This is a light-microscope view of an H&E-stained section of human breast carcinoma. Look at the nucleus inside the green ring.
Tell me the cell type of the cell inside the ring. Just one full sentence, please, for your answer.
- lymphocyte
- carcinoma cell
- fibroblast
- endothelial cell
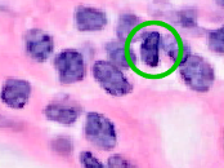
At the level of cell identity, the cell inside the ring is a lymphocyte.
